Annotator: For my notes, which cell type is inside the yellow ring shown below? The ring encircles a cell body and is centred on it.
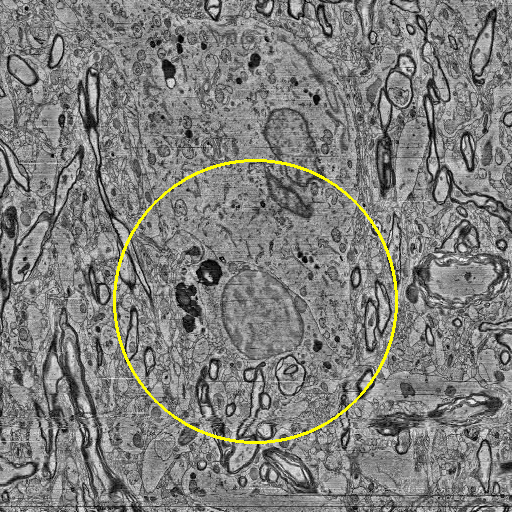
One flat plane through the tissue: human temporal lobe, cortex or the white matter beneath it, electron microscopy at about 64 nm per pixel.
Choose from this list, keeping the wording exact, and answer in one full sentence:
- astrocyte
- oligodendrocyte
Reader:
At the centre of the yellow ring there is an oligodendrocyte, as shown in the picture.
